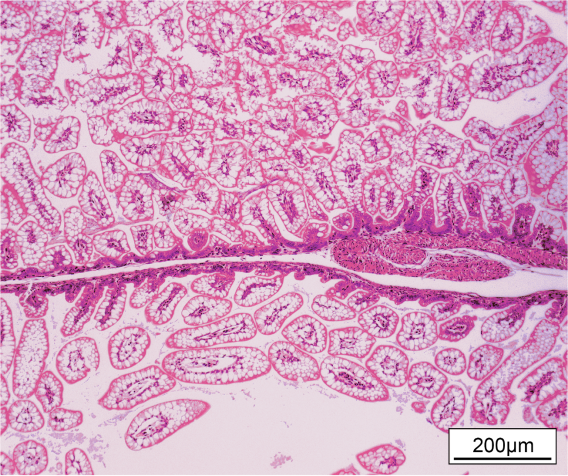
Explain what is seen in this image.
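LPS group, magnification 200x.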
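This section of small intestine shows a thin band of intestinal wall running horizontally, with densely packed villi projecting from both sides. Each villus is covered by a single layer of columnar epithelium full of pale, clear goblet cells, surrounding a narrow pink core with dark purple nuclei. The villi are largely intact and arranged in an orderly way.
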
